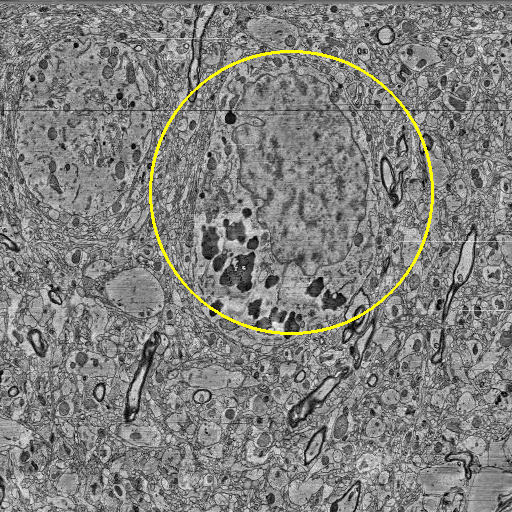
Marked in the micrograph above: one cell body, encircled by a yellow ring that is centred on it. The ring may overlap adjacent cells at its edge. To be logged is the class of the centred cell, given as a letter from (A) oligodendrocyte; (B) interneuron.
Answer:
B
